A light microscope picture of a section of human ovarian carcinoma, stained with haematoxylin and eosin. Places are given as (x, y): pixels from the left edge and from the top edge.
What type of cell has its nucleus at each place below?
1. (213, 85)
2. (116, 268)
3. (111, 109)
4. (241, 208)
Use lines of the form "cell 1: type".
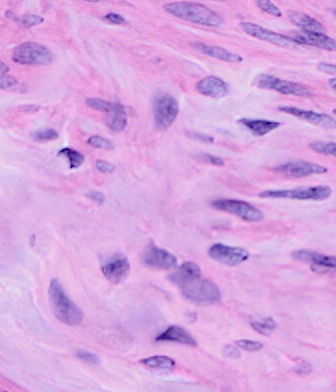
cell 1: smooth muscle cell
cell 2: fibroblast
cell 3: smooth muscle cell
cell 4: smooth muscle cell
